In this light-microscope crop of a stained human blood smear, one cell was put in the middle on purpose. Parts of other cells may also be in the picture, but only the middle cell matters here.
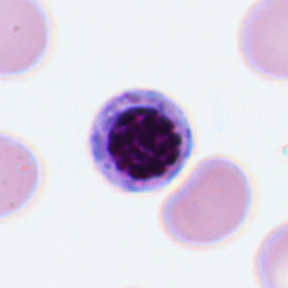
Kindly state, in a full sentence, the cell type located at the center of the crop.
The centered cell in this crop is an erythroblast.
